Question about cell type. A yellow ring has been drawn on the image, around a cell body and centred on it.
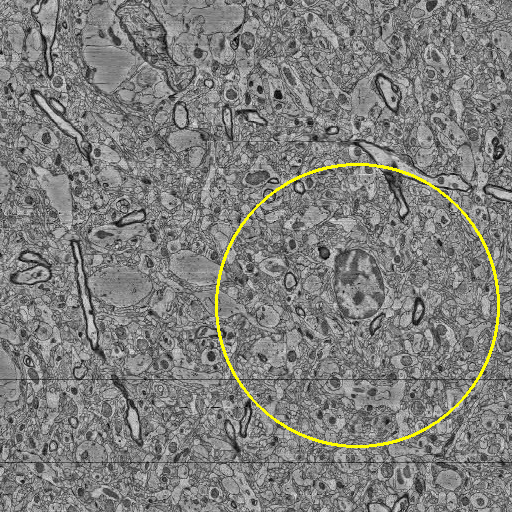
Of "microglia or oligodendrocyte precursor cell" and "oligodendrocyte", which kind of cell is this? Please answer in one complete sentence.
At the centre of the ring lies a microglial cell or oligodendrocyte precursor cell.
